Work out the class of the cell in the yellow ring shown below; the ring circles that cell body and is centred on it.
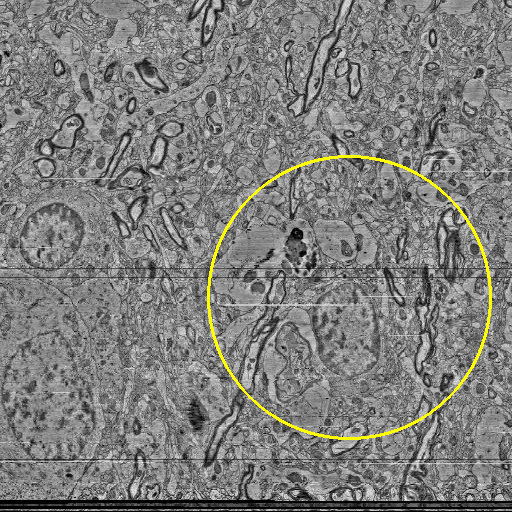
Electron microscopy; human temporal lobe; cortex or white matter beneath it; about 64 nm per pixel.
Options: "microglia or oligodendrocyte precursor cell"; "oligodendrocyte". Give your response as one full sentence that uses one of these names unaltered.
The body ringed in yellow, right at the ring's centre, is that of an oligodendrocyte.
